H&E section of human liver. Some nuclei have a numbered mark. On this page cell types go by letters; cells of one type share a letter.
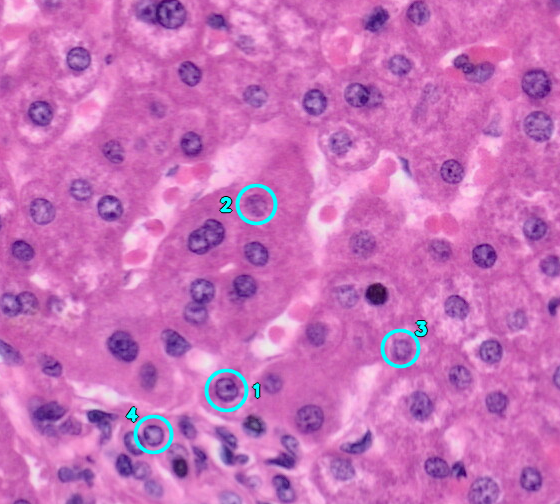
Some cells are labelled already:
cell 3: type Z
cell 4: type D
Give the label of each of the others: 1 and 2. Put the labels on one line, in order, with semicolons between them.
type Z; type Z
